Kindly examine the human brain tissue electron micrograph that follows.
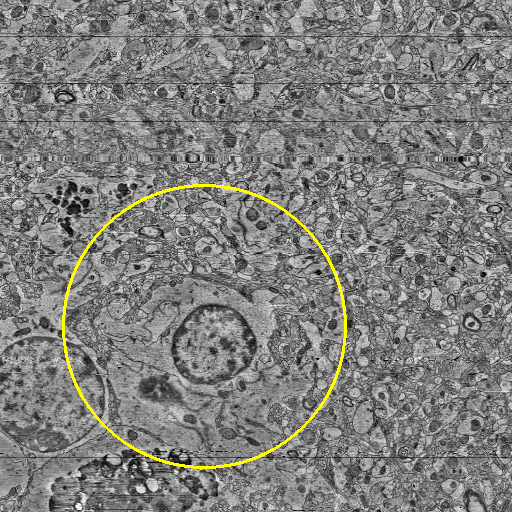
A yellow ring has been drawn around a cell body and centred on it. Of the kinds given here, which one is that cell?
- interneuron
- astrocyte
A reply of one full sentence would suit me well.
The micrograph's ringed cell, the one at the ring's centre, is an astrocyte.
